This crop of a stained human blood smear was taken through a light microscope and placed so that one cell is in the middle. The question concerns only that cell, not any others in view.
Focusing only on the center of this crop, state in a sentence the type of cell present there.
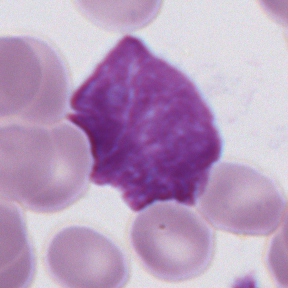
The cell featured at the centre of this crop is a smudge cell.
